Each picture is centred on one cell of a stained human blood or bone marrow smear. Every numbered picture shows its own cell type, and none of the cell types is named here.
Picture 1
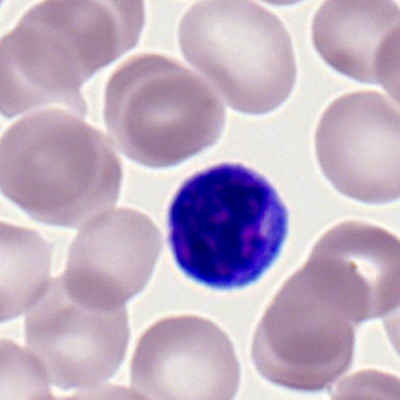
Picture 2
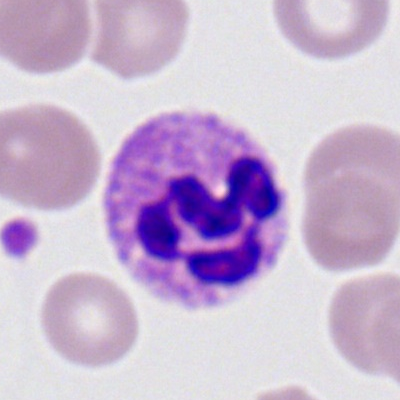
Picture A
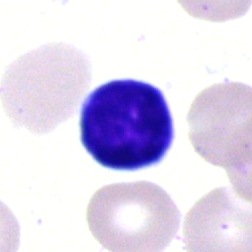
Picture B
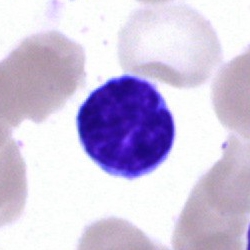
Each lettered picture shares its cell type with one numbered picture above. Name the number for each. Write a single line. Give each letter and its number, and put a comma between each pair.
A 1, B 1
